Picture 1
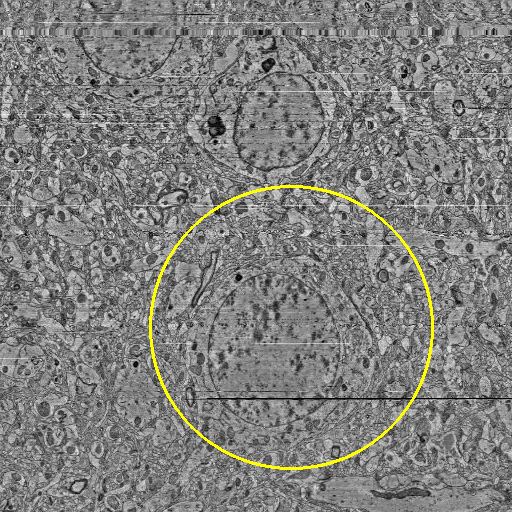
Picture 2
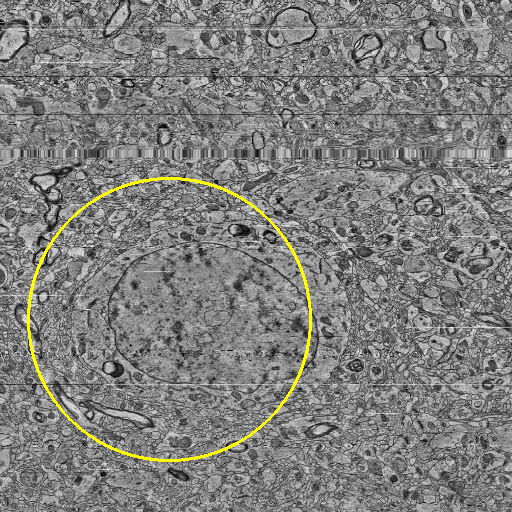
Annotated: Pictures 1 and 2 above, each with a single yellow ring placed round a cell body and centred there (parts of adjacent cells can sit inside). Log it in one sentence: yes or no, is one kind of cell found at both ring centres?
Yes, the ring centres of the two pictures hold cells of one kind.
